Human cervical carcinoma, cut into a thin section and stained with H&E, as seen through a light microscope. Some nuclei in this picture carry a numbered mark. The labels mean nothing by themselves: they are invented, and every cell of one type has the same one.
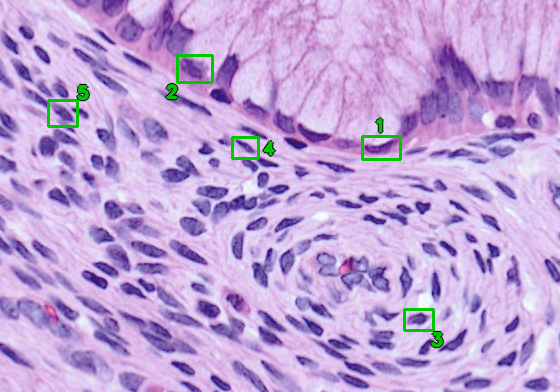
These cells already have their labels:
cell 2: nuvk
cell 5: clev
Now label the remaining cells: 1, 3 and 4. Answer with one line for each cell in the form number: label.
1: nuvk
3: clev
4: clev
